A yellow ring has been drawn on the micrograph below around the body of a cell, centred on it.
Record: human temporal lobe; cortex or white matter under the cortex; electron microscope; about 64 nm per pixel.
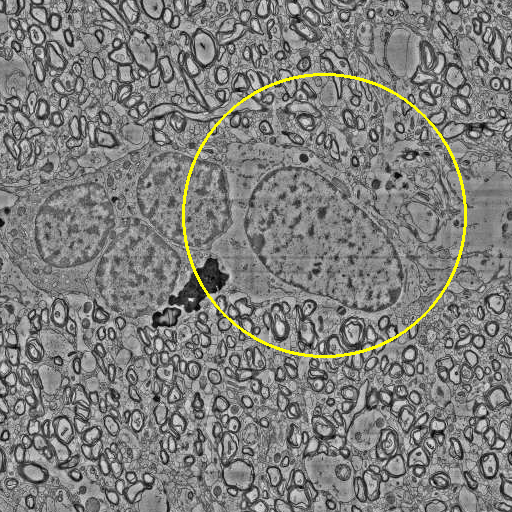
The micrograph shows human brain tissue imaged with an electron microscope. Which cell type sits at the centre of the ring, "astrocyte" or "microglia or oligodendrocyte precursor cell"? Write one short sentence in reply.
The cell sitting at the centre of the ring is a microglial cell or oligodendrocyte precursor cell.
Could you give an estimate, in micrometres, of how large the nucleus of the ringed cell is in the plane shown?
Roughly 11 micrometres long and 7 micrometres wide; in this plane the nucleus is clearly longer than it is wide.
